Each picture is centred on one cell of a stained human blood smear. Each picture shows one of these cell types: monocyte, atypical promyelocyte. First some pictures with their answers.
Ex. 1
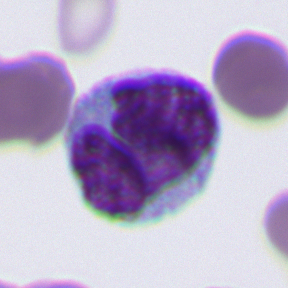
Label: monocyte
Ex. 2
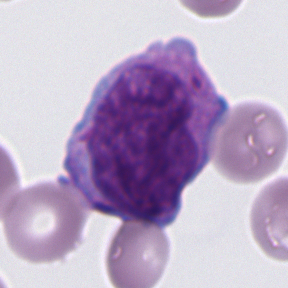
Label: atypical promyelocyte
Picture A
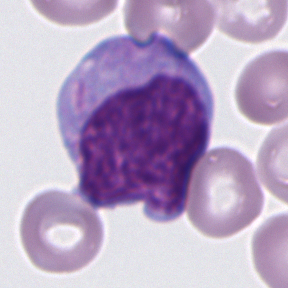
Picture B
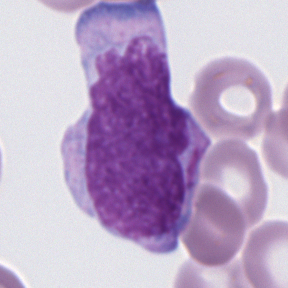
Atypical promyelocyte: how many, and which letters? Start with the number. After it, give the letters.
2, namely A, B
